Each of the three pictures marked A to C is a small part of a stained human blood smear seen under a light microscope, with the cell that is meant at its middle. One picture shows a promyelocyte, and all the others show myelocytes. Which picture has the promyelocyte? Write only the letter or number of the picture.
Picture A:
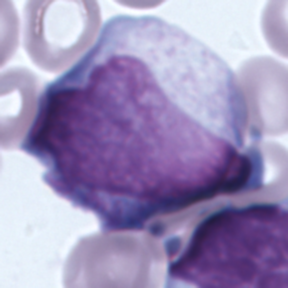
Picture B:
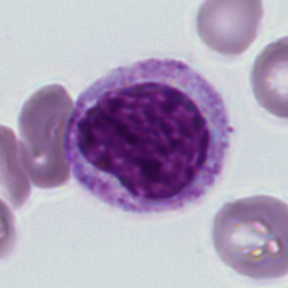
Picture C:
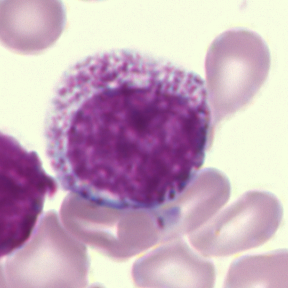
A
